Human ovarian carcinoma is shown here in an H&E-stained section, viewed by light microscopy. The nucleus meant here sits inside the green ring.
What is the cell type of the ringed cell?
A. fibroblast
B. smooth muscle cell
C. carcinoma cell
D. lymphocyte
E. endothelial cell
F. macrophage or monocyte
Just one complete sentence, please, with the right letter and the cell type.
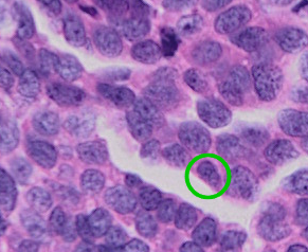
Option C is correct in stating that the ringed cell is a carcinoma cell.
